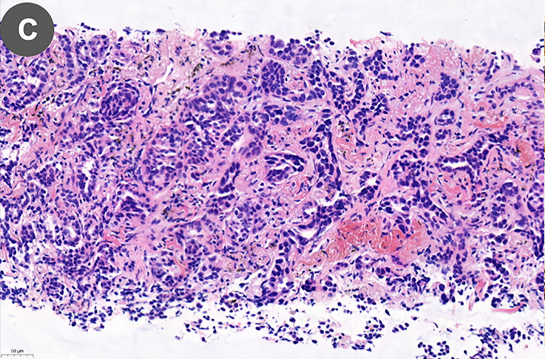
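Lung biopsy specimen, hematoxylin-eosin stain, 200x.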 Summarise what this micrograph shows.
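The stroma between the tumour clusters is pink and fibrous, with scattered spindle-shaped nuclei. The tumour cells are not small and form small glands, cords and nests that vary in shape. Their nuclei are dark purple and hyperchromatic, and their cytoplasm is scant and only weakly pink.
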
